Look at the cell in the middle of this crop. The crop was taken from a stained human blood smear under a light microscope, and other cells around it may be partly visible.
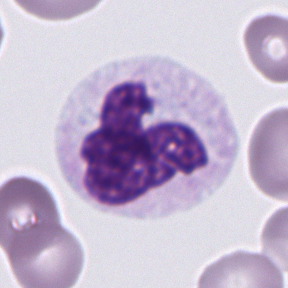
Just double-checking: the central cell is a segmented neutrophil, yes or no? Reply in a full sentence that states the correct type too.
Yes, the crop's central cell is a segmented neutrophil.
